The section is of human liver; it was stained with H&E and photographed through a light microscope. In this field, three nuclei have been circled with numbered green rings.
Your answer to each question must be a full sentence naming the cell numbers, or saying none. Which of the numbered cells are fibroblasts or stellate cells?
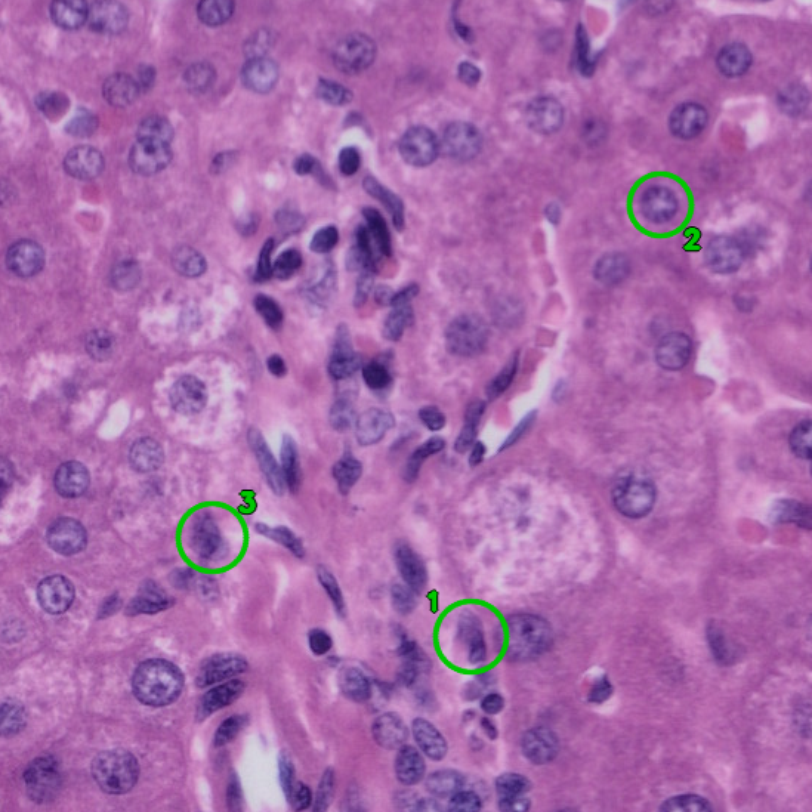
The cells given the numbers 1 and 3 are fibroblasts or stellate cells.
